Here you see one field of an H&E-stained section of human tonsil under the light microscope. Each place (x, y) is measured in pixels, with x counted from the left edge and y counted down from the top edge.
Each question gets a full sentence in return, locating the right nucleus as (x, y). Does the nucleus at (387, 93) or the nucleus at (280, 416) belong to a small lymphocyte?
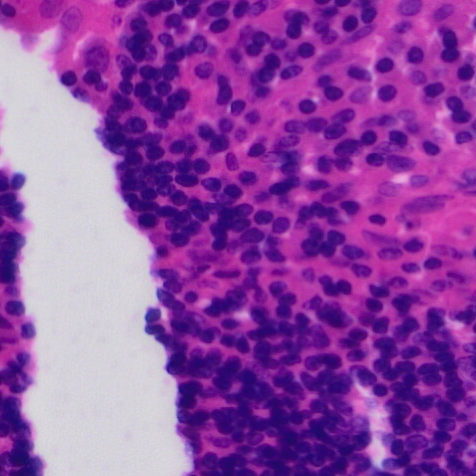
It is the nucleus at (280, 416) that forms part of a small lymphocyte.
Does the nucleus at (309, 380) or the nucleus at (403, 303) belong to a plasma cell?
The nucleus at position (403, 303) belongs to a plasma cell.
